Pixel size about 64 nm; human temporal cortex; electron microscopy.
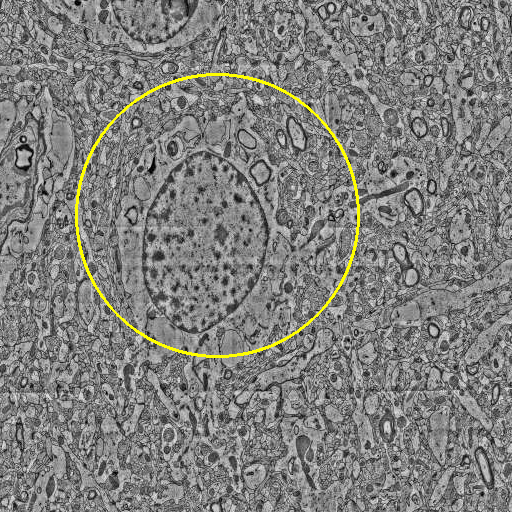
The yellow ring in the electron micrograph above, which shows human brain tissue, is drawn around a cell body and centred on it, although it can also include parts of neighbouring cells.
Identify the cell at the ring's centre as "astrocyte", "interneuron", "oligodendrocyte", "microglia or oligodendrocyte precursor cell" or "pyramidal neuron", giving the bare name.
astrocyte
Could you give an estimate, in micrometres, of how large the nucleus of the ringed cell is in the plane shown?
In this plane, the nucleus of the cell at the centre of the ring measures about 11 by 8 micrometres.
